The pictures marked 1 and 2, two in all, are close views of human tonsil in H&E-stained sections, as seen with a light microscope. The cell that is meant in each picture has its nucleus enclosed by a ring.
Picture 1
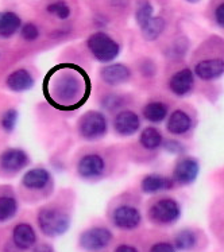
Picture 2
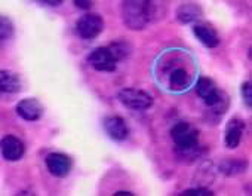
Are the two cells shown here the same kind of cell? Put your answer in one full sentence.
Yes, they are the same type: both are plasma cells.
